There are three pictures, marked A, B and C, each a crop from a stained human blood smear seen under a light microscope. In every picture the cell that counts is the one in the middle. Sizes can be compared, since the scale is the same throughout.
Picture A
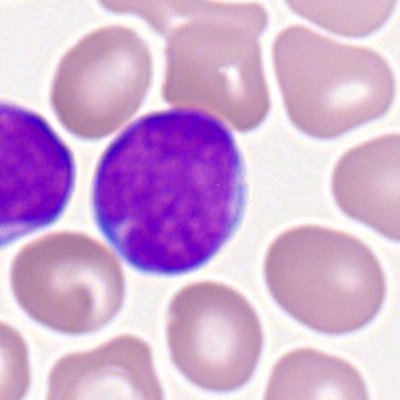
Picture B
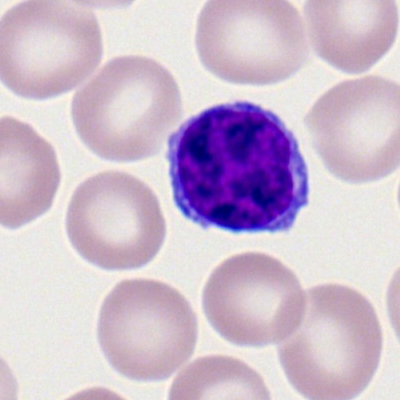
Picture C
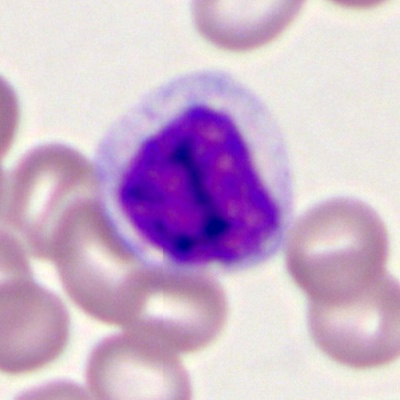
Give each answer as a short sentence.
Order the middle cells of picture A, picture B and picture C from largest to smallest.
The order is C, A, B, beginning with the largest.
